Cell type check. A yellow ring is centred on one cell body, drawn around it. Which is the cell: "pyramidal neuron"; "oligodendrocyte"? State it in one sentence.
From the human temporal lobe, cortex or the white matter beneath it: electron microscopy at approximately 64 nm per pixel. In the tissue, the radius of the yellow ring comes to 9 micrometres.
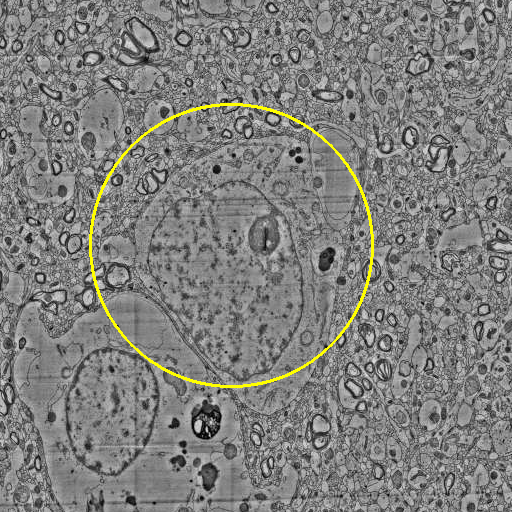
The cell body at the ring's centre belongs to a pyramidal neuron.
